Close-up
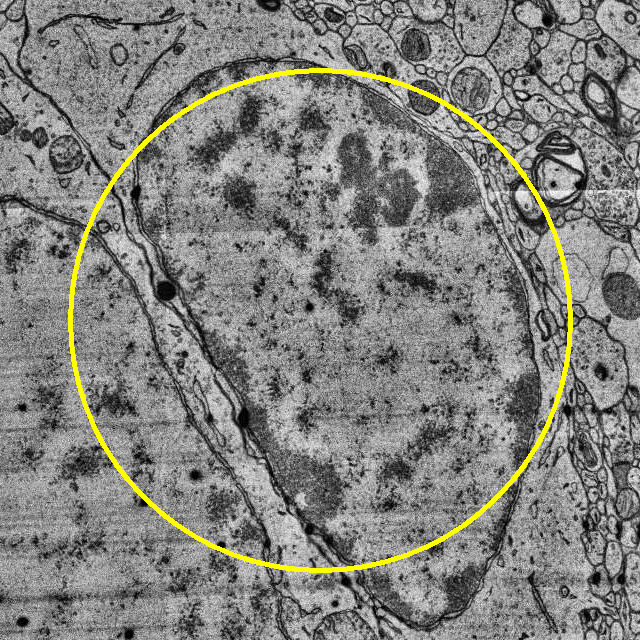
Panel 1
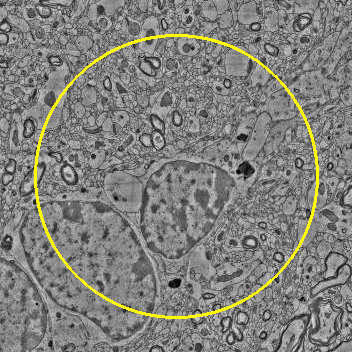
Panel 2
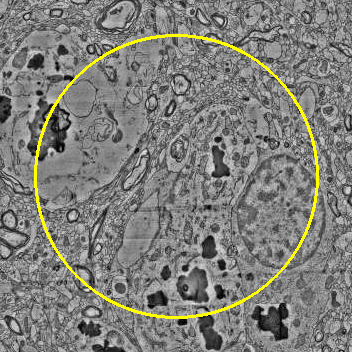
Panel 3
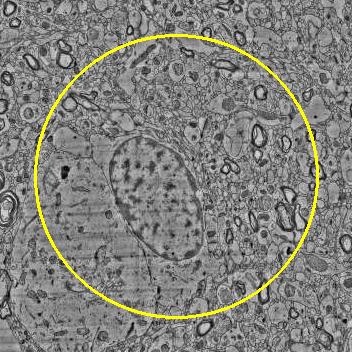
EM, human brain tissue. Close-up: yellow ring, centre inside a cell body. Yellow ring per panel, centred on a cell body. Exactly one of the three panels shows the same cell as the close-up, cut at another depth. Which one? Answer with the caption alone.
Panel 3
